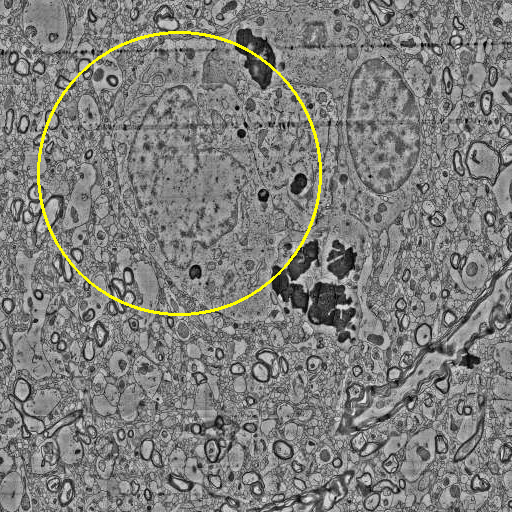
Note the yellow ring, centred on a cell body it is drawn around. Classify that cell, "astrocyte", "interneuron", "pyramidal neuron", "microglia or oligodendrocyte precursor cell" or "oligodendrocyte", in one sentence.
The cell the ring is centred on is an interneuron.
